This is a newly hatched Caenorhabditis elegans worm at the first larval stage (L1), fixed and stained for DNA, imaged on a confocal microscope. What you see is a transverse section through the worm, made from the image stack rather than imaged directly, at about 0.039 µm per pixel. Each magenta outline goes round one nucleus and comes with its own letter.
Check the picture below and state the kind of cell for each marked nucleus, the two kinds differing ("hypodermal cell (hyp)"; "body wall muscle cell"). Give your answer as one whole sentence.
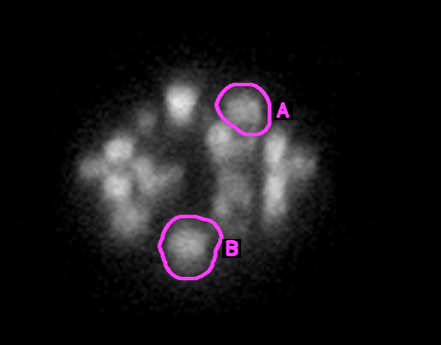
A is in a body wall muscle cell and B is in a hypodermal cell (hyp).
